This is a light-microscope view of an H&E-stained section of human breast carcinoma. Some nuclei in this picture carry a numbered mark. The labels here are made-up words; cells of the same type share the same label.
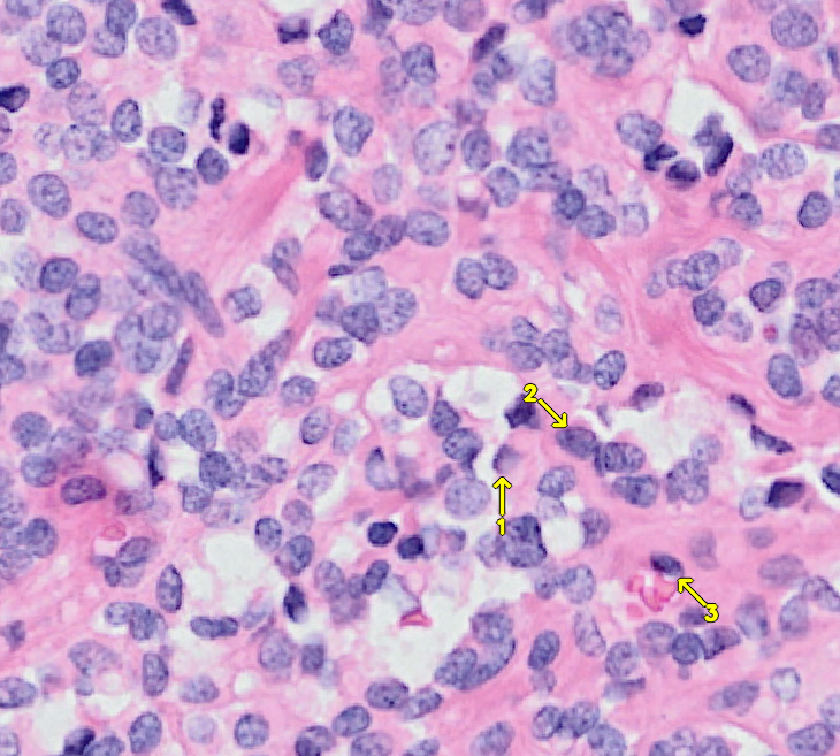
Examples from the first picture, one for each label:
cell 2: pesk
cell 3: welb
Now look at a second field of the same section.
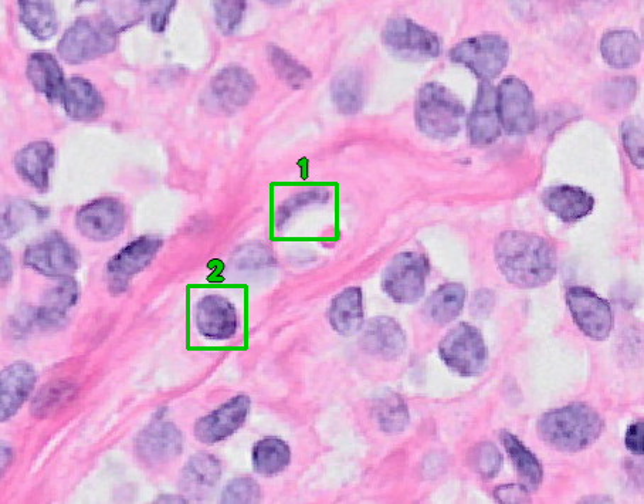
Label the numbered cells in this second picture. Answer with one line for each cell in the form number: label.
1: welb
2: pesk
